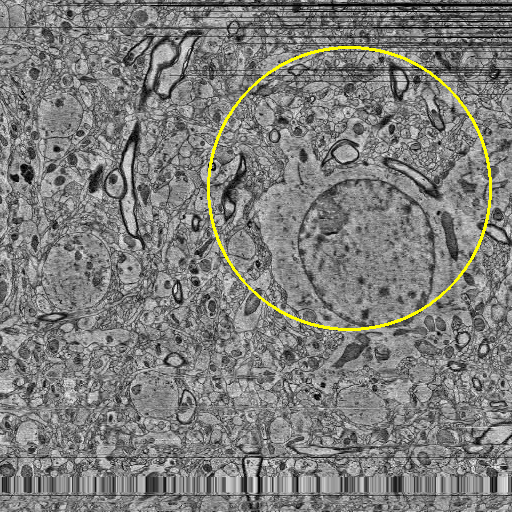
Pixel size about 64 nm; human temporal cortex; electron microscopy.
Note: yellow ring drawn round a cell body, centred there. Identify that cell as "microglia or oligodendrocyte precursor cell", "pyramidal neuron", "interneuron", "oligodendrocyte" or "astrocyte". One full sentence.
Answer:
The cell in the middle of the ring is an astrocyte.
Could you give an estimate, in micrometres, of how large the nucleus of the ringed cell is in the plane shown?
In this plane, about 10 micrometres in length and 9 in width.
